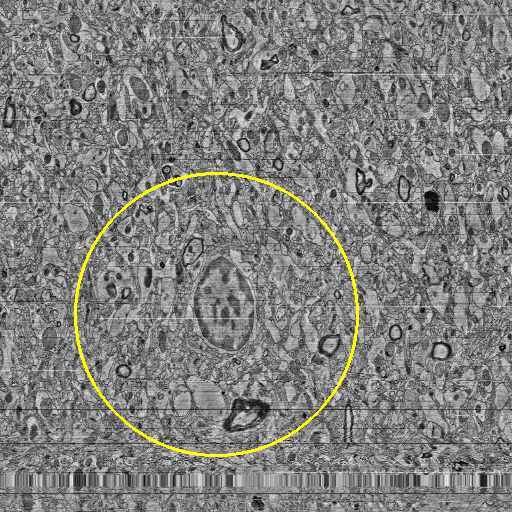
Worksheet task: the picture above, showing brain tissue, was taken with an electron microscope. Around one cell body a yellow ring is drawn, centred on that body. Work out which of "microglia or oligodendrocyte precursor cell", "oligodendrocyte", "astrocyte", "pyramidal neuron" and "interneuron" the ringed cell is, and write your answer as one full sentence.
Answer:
It is a microglial cell or oligodendrocyte precursor cell whose cell body lies at the centre of the yellow ring.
